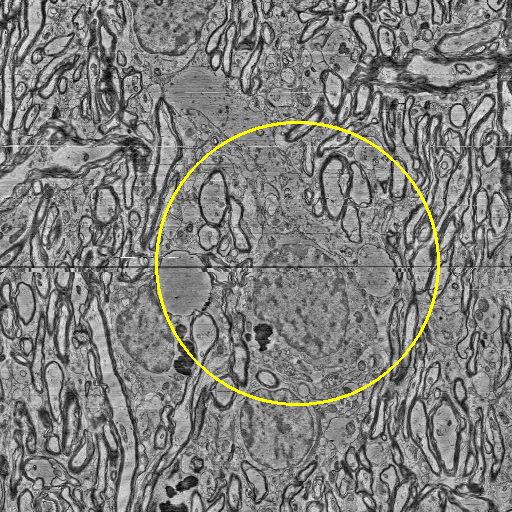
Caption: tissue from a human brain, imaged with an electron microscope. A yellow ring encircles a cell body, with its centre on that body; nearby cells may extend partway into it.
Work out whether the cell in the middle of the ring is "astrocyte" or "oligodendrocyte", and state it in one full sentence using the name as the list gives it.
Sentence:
In the picture, the cell that the yellow ring surrounds at its centre is an oligodendrocyte.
